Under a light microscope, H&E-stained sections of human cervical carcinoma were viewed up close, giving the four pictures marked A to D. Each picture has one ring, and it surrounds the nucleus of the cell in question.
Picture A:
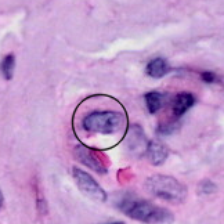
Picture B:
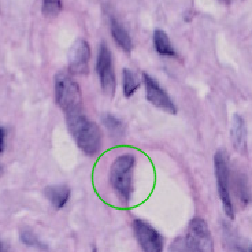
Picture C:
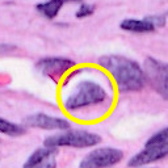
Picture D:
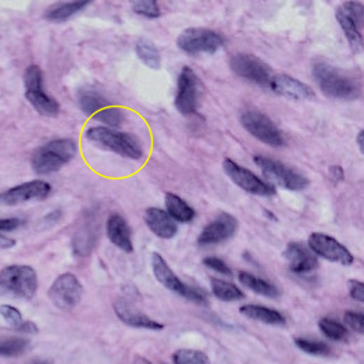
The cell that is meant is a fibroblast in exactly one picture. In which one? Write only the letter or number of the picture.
D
